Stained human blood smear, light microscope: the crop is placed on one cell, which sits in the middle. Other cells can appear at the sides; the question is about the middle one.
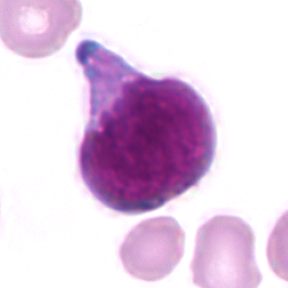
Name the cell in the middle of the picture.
atypical promyelocyte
